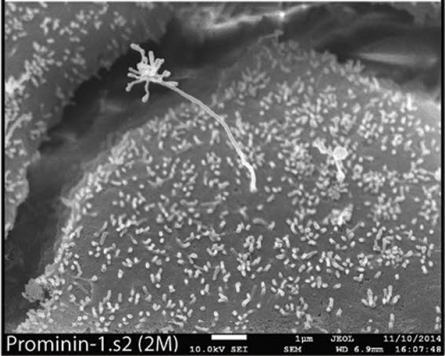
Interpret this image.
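This scanning electron micrograph shows the apical surface of epithelial cells viewed from above, with a primary cilium. The free surface is covered by numerous short, finger-like projections scattered densely over the membrane. From this surface a single long, slender cilium rises and runs obliquely across the field, many times longer than the surrounding projections. Its tip is not smooth but splays into a cluster of several short, branching membrane extensions, giving a tufted, flower-like end. A second, smaller tufted structure lies nearby on the surface. The cell edge and a dark gap to the neighbouring region are visible at the top.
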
